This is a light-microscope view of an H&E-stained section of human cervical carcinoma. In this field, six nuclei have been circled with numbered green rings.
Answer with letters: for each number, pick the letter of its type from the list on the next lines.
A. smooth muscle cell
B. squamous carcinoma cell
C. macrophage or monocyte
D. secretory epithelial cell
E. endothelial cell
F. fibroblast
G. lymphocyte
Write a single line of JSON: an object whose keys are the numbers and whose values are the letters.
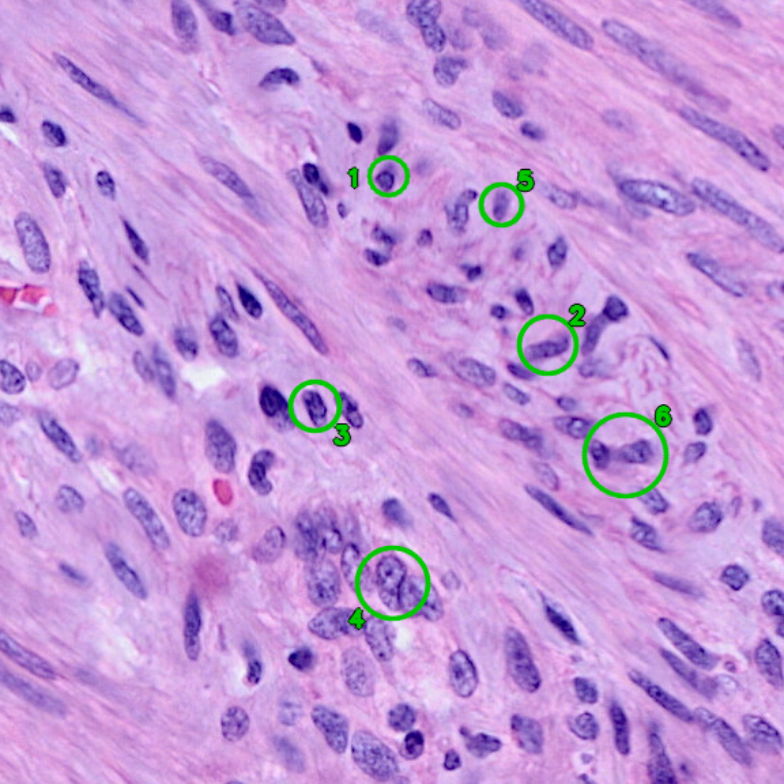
{"1": "A", "2": "A", "3": "G", "4": "E", "5": "A", "6": "A"}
